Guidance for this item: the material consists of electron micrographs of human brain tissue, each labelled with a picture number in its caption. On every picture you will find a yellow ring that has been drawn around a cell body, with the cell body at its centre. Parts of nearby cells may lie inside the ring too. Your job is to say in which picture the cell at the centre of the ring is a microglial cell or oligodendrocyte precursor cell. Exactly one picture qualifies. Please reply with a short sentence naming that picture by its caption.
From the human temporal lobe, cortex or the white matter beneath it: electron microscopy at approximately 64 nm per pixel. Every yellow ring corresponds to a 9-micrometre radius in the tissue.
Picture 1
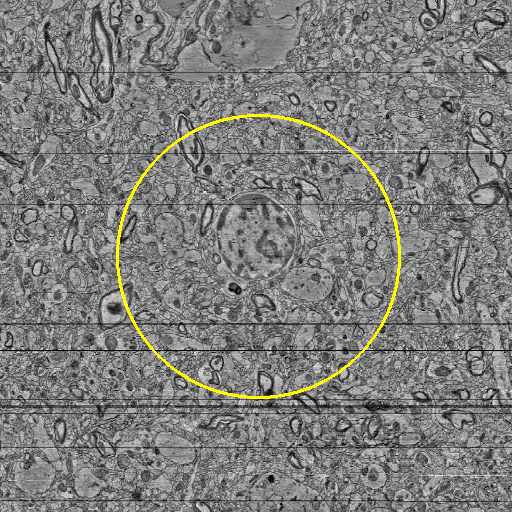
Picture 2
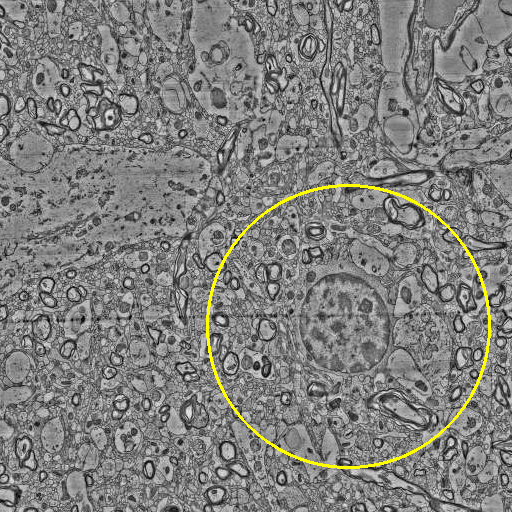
Picture 1 shows it at the centre of the ring.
